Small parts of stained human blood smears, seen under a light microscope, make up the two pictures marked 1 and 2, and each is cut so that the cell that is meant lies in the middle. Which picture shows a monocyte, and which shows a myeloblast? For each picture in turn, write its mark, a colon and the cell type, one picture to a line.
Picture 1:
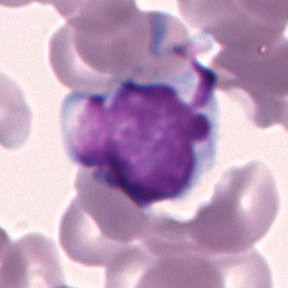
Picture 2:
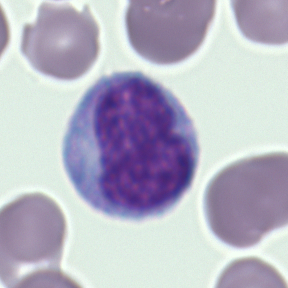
1: myeloblast
2: monocyte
